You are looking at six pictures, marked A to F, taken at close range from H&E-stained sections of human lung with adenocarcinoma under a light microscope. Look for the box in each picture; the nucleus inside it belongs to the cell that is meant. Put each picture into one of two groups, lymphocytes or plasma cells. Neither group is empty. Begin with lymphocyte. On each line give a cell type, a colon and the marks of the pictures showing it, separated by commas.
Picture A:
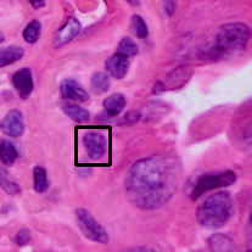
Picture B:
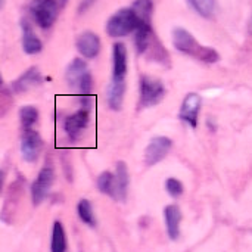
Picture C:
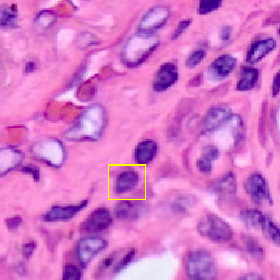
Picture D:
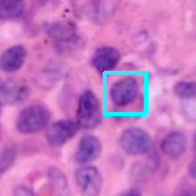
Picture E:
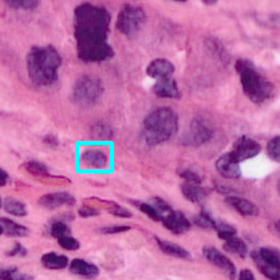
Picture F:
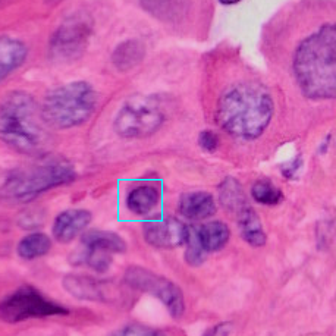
lymphocyte: A, E
plasma cell: B, C, D, F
